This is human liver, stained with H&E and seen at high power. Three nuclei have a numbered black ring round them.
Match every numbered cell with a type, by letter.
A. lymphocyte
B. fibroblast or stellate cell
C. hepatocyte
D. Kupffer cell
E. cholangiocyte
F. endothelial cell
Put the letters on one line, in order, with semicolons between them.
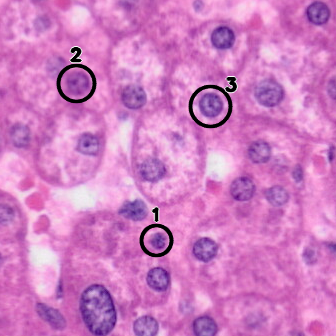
A; C; C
